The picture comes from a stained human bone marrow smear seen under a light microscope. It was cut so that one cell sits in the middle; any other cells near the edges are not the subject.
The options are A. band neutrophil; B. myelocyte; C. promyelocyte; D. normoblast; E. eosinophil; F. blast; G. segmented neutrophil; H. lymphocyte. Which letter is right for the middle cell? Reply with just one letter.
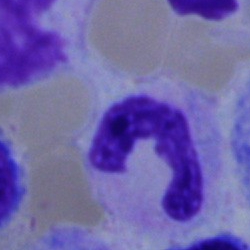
G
